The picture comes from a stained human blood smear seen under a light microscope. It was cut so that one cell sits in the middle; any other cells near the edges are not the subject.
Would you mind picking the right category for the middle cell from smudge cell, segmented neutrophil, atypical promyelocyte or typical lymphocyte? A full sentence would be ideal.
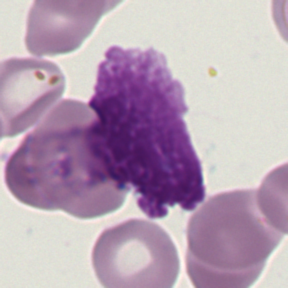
The middle of this crop holds a smudge cell.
